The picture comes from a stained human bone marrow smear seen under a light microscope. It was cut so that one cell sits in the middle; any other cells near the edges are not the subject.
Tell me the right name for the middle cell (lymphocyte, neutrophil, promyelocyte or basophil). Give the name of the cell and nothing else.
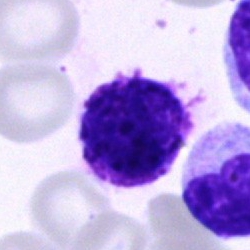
basophil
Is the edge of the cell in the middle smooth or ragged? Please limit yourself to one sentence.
Rather than running smoothly, the cell border is ragged or carries projections.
